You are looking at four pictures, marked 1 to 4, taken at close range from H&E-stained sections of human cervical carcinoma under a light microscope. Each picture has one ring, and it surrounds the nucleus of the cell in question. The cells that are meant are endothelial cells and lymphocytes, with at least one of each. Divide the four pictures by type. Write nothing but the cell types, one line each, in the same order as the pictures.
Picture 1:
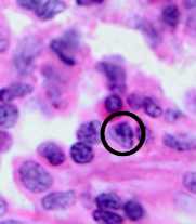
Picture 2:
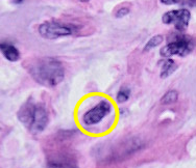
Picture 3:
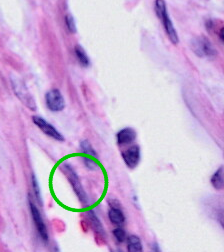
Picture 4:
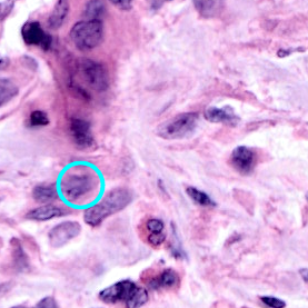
lymphocyte
lymphocyte
endothelial cell
endothelial cell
